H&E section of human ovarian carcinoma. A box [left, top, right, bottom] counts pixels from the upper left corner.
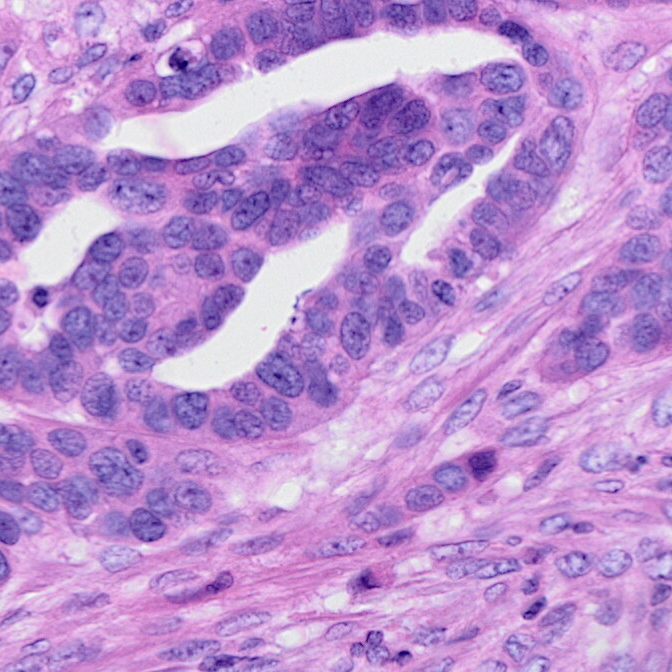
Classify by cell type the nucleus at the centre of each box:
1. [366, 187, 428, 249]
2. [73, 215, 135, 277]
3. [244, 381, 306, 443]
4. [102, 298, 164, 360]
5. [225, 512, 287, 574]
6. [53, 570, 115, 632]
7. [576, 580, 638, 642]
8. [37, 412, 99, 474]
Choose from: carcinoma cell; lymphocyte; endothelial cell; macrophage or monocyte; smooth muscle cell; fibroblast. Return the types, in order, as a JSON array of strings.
["carcinoma cell", "carcinoma cell", "carcinoma cell", "carcinoma cell", "fibroblast", "fibroblast", "fibroblast", "carcinoma cell"]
